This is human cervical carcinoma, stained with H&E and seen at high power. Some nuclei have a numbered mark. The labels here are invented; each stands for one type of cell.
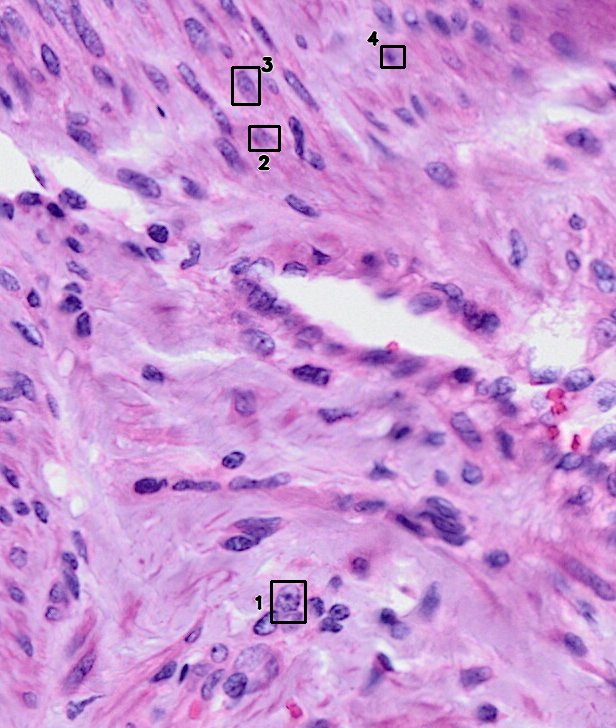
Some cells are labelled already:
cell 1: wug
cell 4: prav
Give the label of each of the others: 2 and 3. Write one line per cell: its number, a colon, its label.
2: prav
3: prav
